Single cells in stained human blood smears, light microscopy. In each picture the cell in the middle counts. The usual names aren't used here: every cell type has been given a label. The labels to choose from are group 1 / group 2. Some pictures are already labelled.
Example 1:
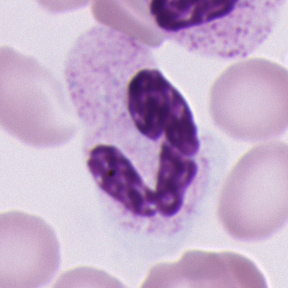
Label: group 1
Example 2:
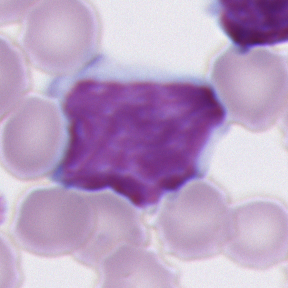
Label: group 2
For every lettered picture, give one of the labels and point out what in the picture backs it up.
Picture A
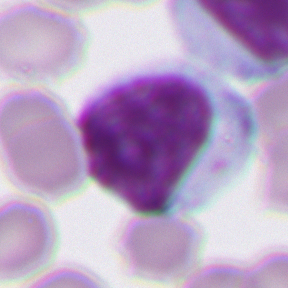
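Answer: group 2. The nucleus fills most of the cell and sits off-centre towards the left.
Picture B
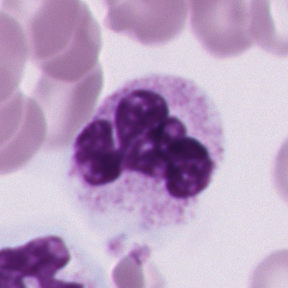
Answer: group 1. The cytoplasm is pale pink-lilac rather than blue.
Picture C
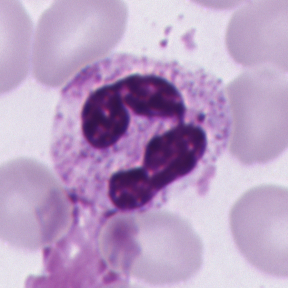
Answer: group 1. The cytoplasm is plentiful and pale pinkish-lilac.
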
